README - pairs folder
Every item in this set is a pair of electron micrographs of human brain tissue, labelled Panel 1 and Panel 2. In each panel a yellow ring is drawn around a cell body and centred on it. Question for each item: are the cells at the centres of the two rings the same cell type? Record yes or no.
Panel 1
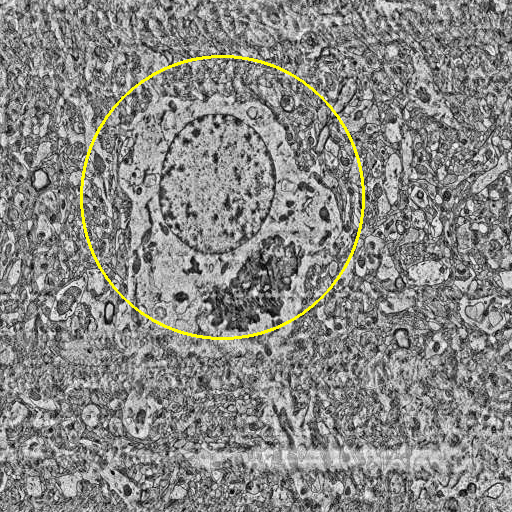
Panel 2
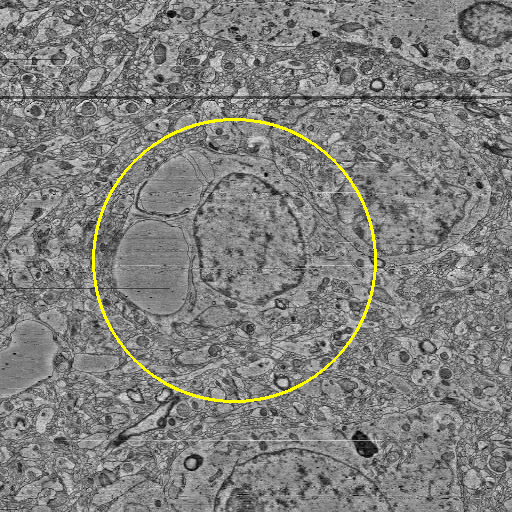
yes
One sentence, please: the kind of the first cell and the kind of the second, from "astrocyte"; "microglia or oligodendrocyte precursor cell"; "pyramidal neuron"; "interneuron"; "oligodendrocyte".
In both pictures the ring is centred on an astrocyte.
